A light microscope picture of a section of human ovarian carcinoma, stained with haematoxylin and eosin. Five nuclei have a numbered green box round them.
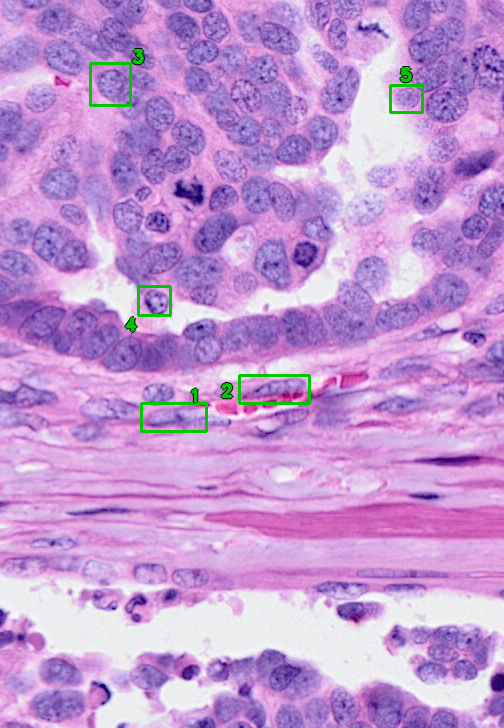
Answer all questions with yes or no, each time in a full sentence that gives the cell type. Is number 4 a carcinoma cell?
No, cell number 4 is a macrophage or monocyte; it is not a carcinoma cell.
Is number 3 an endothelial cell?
No, cell 3 should be read as a carcinoma cell instead of an endothelial cell.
